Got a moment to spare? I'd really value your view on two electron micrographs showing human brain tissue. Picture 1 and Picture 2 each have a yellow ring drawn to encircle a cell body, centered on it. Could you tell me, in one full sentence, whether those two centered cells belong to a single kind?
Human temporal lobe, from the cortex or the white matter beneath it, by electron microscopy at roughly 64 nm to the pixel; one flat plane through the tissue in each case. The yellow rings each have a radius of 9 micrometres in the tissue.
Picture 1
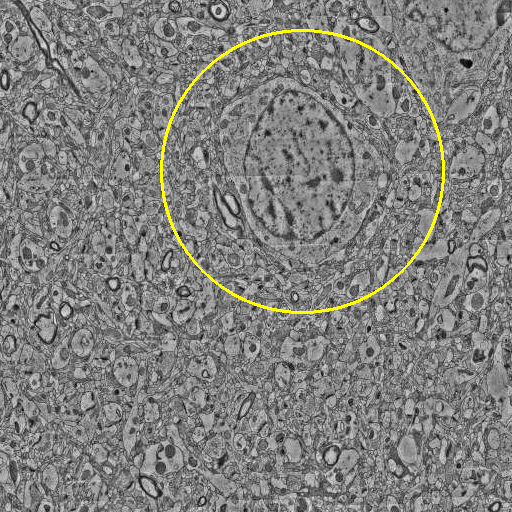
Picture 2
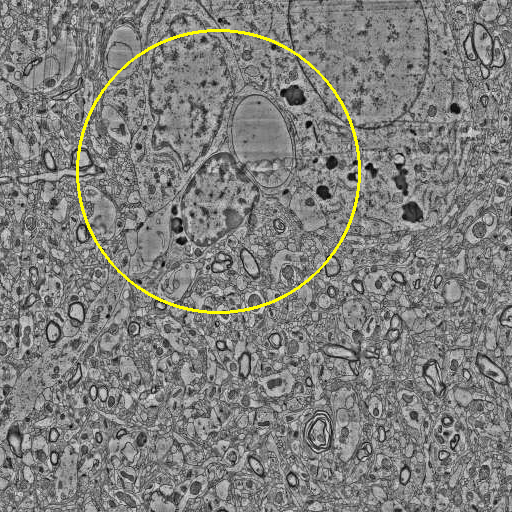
No, the two centered cells in Picture 1 and Picture 2 are of two kinds.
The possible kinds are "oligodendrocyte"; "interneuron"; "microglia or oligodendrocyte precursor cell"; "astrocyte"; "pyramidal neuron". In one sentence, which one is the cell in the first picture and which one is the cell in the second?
The cell ringed in the second picture is a microglial cell or oligodendrocyte precursor cell, whereas the one ringed in the first is an interneuron.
